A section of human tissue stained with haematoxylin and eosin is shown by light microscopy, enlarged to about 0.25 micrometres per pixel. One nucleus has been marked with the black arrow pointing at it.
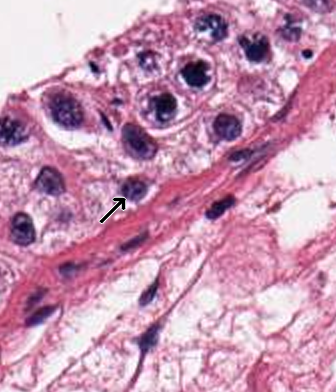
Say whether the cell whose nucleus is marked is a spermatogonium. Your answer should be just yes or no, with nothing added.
yes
